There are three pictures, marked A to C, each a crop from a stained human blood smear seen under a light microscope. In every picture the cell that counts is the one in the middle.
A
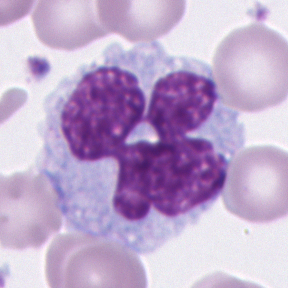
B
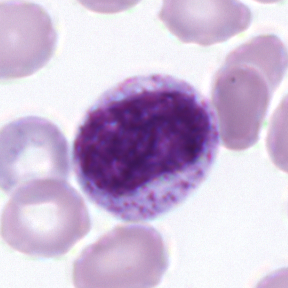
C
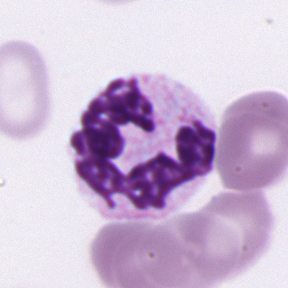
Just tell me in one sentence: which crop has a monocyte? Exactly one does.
Among the crops provided, a monocyte occupies the center of crop A.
